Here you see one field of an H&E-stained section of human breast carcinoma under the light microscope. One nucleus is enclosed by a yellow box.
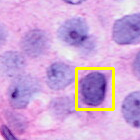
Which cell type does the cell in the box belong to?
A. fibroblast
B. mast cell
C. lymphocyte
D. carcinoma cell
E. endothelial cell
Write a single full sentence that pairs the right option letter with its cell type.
Option D is correct here; the cell in the box is a carcinoma cell.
